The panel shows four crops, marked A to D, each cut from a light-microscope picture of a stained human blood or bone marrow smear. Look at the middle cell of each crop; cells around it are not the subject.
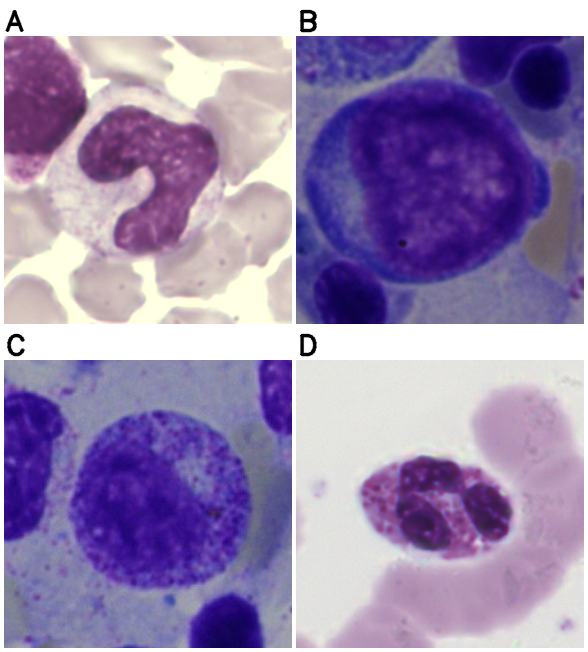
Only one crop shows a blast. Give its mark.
B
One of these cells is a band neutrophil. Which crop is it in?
A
